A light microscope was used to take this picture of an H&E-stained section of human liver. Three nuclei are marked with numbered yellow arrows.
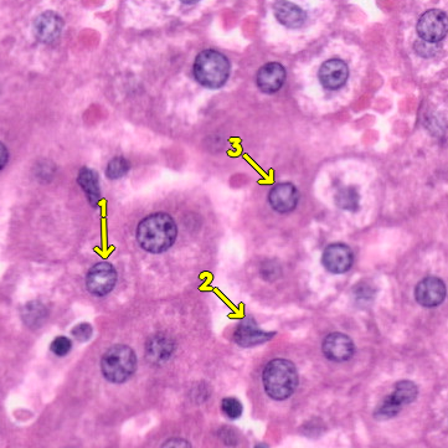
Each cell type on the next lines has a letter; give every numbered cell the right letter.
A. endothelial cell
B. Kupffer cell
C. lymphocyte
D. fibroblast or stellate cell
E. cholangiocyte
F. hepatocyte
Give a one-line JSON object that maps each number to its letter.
{"1": "F", "2": "B", "3": "F"}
